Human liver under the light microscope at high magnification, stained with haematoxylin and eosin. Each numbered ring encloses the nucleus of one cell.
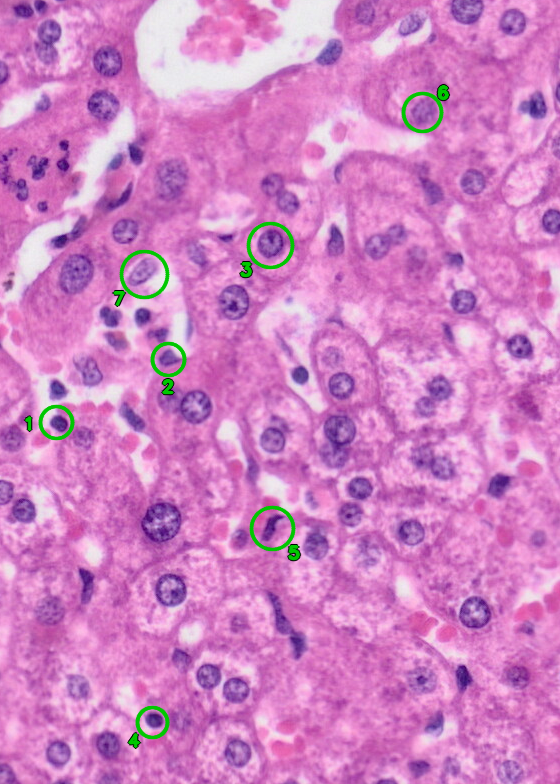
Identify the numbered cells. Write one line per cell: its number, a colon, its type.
1: lymphocyte
2: fibroblast or stellate cell
3: hepatocyte
4: lymphocyte
5: fibroblast or stellate cell
6: hepatocyte
7: Kupffer cell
